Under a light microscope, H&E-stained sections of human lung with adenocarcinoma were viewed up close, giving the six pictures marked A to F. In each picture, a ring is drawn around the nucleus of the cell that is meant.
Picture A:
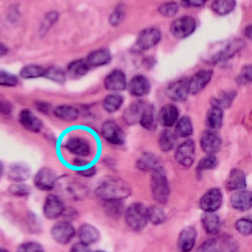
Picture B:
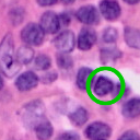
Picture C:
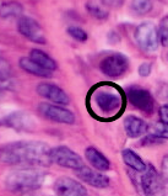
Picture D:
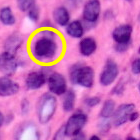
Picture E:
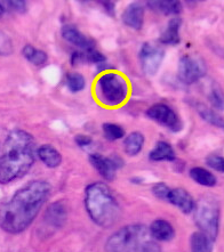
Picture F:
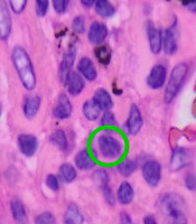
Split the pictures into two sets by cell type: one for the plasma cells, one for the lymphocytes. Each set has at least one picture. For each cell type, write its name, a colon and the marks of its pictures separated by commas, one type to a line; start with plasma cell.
plasma cell: C, E
lymphocyte: A, B, D, F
